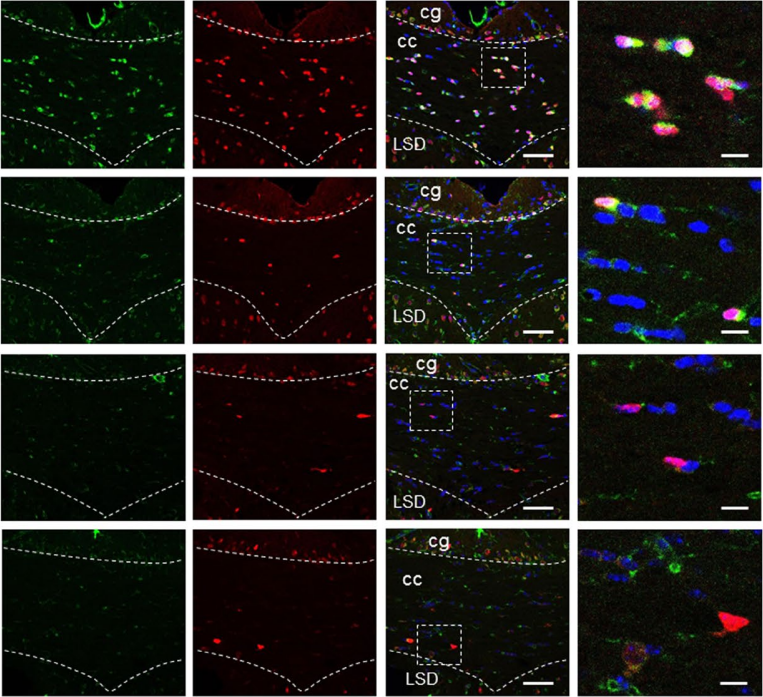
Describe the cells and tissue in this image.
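A band of white matter bounded by dashed lines holds many small round cell bodies, some green, some red and many both at once, lying in loose rows among blue nuclei. In the enlarged views the double-coloured cells have compact rounded bodies without long visible processes.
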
